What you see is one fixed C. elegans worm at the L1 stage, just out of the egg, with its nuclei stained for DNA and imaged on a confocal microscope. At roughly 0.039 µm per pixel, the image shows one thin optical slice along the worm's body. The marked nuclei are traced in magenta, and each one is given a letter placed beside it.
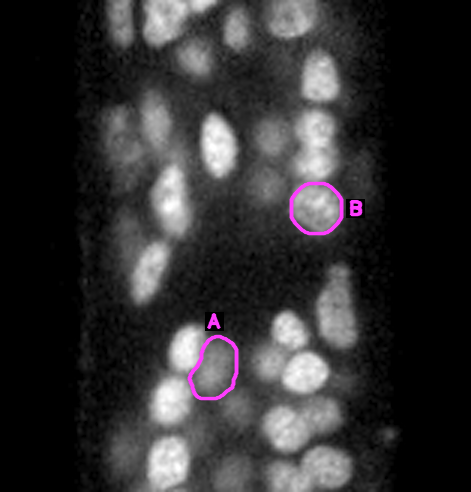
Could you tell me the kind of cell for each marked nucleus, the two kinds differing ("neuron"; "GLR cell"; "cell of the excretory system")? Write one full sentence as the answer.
A is from a GLR cell, and B is from a neuron.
